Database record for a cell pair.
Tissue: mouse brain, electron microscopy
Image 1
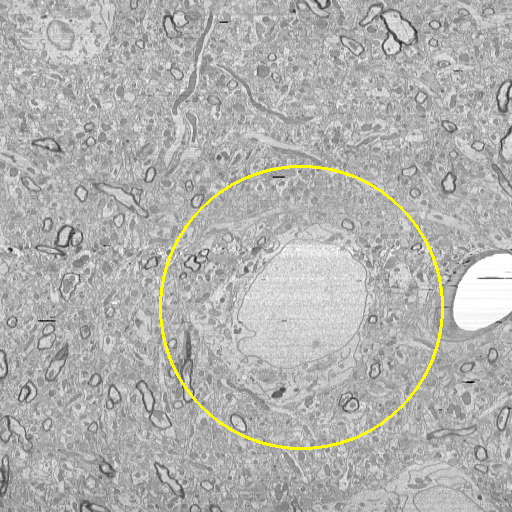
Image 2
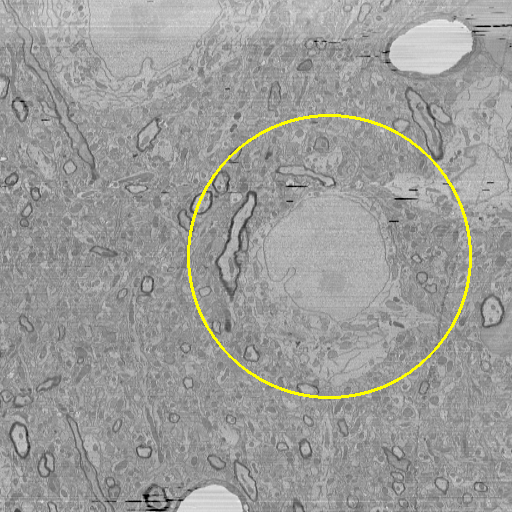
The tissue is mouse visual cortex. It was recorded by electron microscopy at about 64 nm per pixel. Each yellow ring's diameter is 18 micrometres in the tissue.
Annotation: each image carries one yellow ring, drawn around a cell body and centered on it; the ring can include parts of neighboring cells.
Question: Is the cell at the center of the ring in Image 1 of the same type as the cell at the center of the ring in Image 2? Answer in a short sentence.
Yes, the cells are of the same type.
